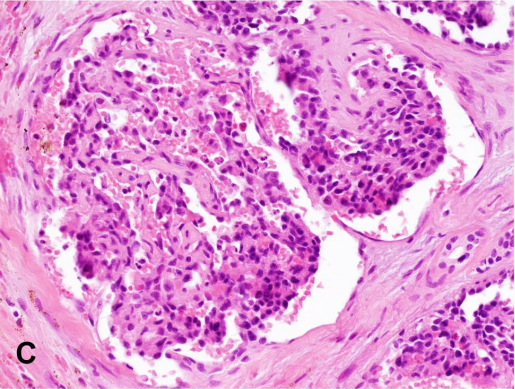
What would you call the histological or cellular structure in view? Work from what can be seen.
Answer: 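Cellular tufts protrude into clear open spaces. The spaces are bounded by pink fibrous walls. Red blood cells lie in the spaces around the tufts. So: papillary structures projecting into the lumen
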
